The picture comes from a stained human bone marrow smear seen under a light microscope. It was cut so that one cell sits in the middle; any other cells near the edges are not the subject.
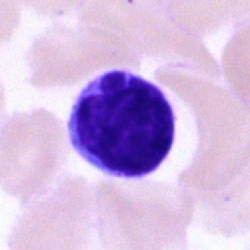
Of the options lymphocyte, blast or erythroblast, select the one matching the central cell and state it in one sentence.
This crop's central cell is a lymphocyte.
